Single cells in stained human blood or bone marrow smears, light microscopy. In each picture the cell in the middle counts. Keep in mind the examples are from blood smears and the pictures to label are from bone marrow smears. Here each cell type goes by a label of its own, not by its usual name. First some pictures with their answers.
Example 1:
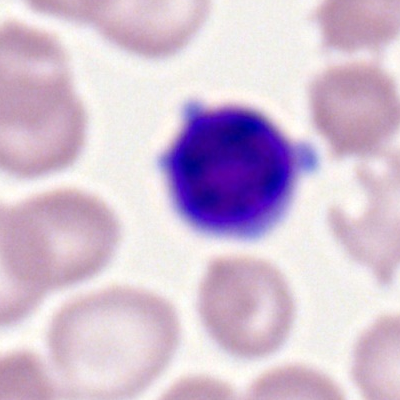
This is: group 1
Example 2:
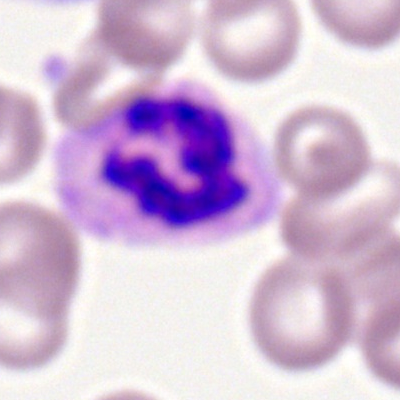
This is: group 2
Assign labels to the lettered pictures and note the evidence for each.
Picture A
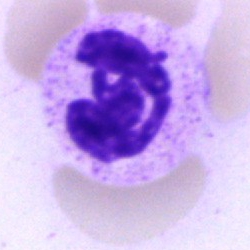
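Answer: group 2. Fine purple granules are scattered through the cytoplasm.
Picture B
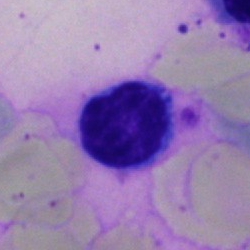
Answer: group 1. The cytoplasm is scant and is widest on the right side of the nucleus.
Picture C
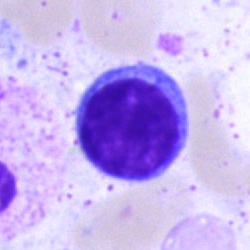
Answer: group 1. The cytoplasm forms only a narrow rim around the nucleus.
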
